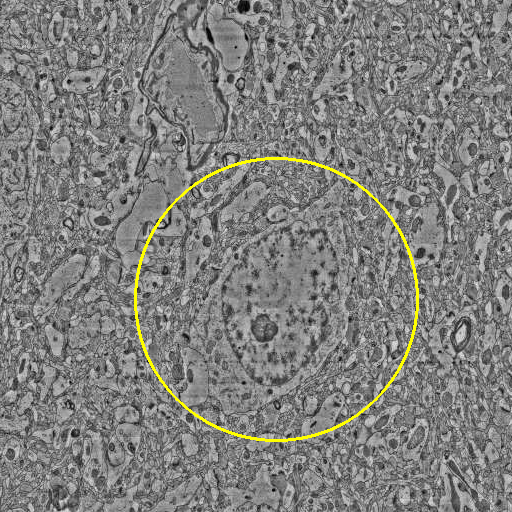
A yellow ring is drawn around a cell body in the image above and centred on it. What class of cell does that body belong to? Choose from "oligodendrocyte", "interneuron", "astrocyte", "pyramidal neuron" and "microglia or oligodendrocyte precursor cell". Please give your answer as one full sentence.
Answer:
The yellow ring above is centred on the cell body of an interneuron.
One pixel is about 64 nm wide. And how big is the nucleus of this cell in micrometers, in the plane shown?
The nucleus is approximately 10 micrometers long by 7 micrometers wide in this plane.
